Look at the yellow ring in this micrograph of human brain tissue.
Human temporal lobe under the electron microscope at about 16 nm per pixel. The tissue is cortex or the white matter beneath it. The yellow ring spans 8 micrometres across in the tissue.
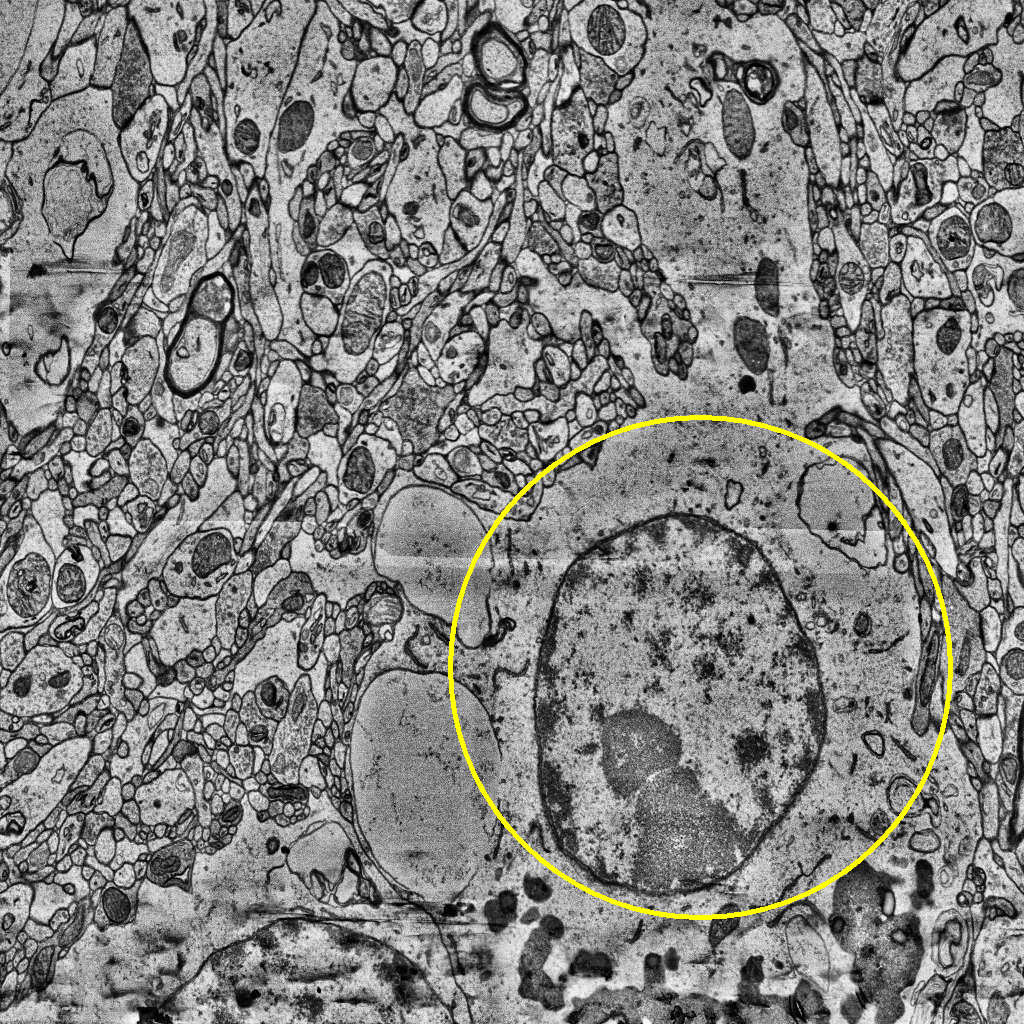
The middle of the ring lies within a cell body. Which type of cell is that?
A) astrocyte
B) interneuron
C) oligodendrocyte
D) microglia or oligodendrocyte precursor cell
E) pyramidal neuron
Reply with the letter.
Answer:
A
